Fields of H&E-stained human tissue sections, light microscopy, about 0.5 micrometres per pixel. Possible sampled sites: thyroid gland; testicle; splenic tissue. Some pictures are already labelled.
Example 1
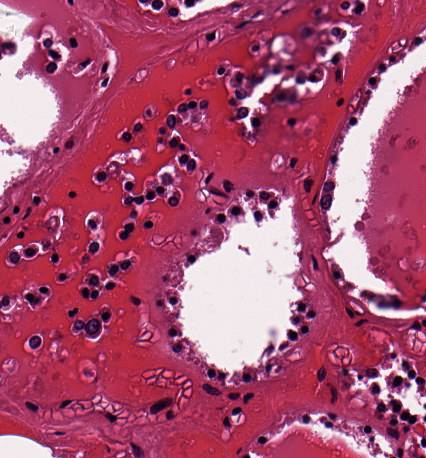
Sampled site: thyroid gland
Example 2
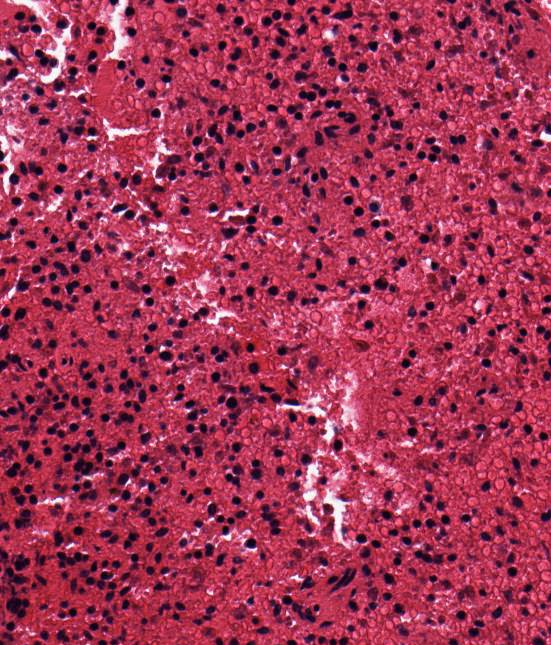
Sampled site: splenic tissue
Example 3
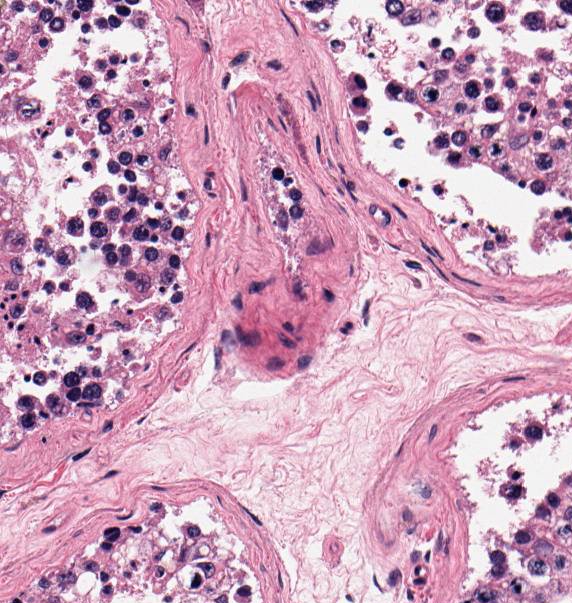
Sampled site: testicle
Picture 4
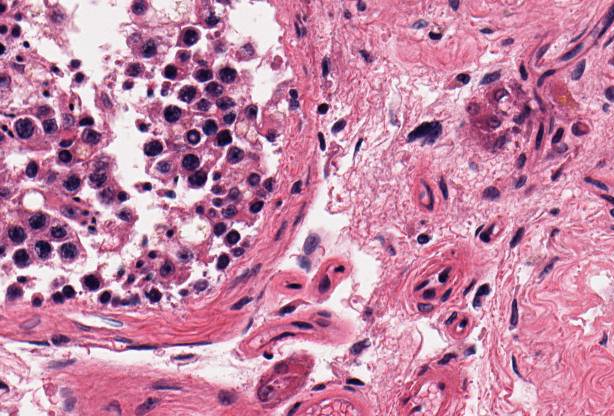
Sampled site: testicle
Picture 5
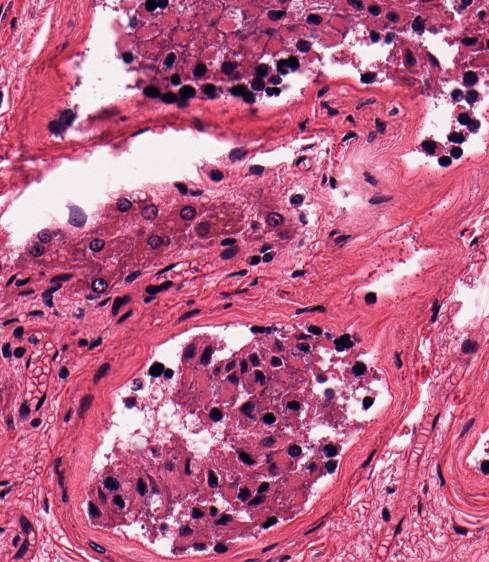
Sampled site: testicle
